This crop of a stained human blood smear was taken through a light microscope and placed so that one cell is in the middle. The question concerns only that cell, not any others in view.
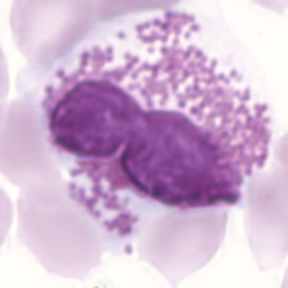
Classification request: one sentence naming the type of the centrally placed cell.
Regarding the central cell, it is an eosinophil.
